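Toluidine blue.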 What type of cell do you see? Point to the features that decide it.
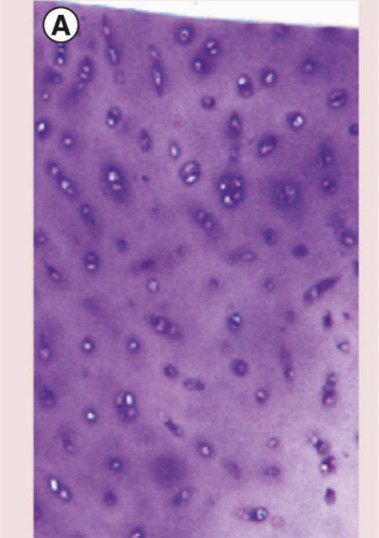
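Rounded cells sit singly or in small pairs inside clear spaces. On this evidence: chondrocytes.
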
